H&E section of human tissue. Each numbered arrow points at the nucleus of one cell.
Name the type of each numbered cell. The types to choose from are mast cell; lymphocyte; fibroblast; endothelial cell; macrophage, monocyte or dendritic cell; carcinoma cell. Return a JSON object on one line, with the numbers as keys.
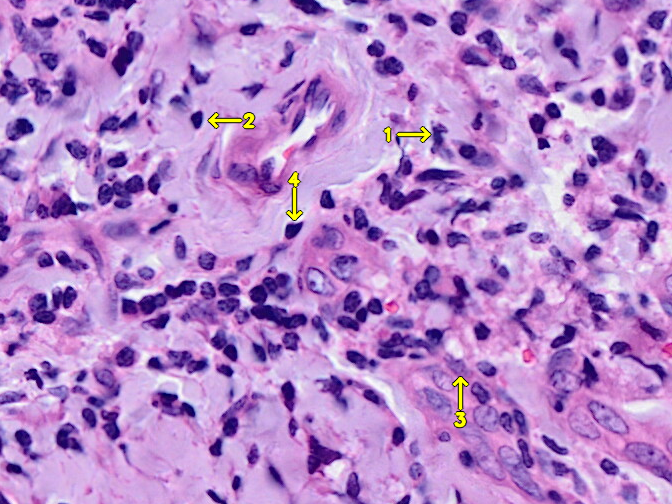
{"1": "lymphocyte", "2": "lymphocyte", "3": "endothelial cell", "4": "lymphocyte"}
